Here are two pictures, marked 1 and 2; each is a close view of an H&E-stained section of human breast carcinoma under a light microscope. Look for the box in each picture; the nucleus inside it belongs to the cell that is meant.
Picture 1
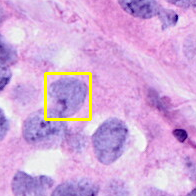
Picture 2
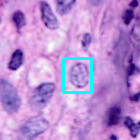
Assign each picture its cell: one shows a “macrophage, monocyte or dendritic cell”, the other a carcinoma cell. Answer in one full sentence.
In picture 1 the cell is a carcinoma cell; in picture 2, a “macrophage, monocyte or dendritic cell”.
